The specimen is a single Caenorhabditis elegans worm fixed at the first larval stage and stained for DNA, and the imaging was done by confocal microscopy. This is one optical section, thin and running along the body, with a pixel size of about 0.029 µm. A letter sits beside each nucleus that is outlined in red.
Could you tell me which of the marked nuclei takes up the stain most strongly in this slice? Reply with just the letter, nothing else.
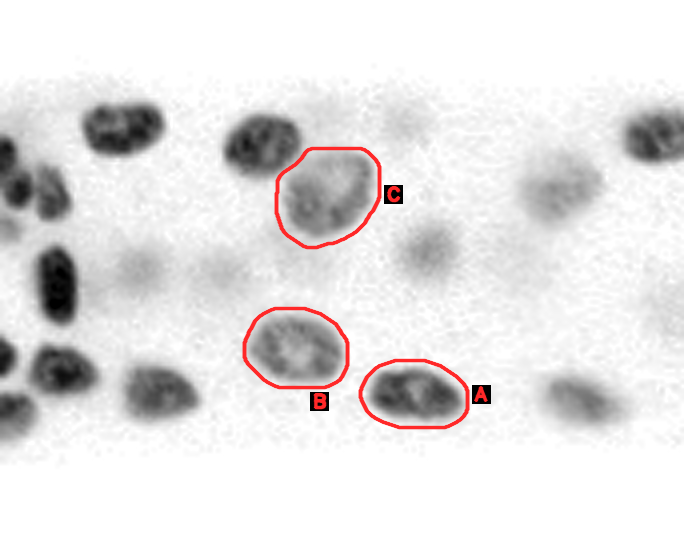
A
